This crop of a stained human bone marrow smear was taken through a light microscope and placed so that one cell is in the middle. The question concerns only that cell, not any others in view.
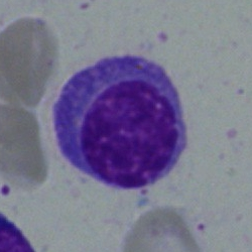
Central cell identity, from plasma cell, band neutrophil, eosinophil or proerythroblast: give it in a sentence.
The cell at the centre of the field is a plasma cell.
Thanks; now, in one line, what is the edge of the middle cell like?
Around its whole circumference the outline stays smooth, free of projections.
